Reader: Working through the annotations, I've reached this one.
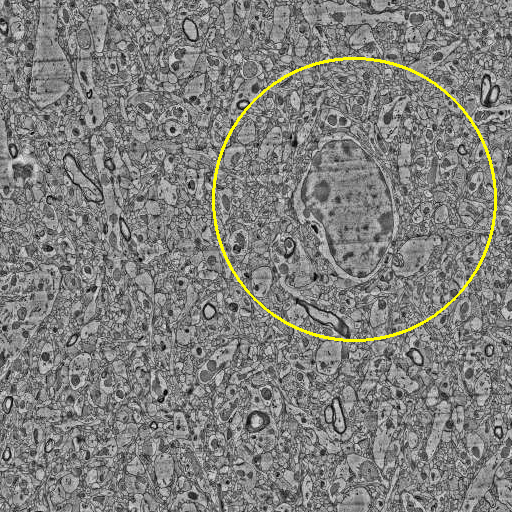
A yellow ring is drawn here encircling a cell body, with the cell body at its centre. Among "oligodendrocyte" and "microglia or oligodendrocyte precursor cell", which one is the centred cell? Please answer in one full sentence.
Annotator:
The cell body at the centre of the yellow ring in this image belongs to a microglial cell or oligodendrocyte precursor cell.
